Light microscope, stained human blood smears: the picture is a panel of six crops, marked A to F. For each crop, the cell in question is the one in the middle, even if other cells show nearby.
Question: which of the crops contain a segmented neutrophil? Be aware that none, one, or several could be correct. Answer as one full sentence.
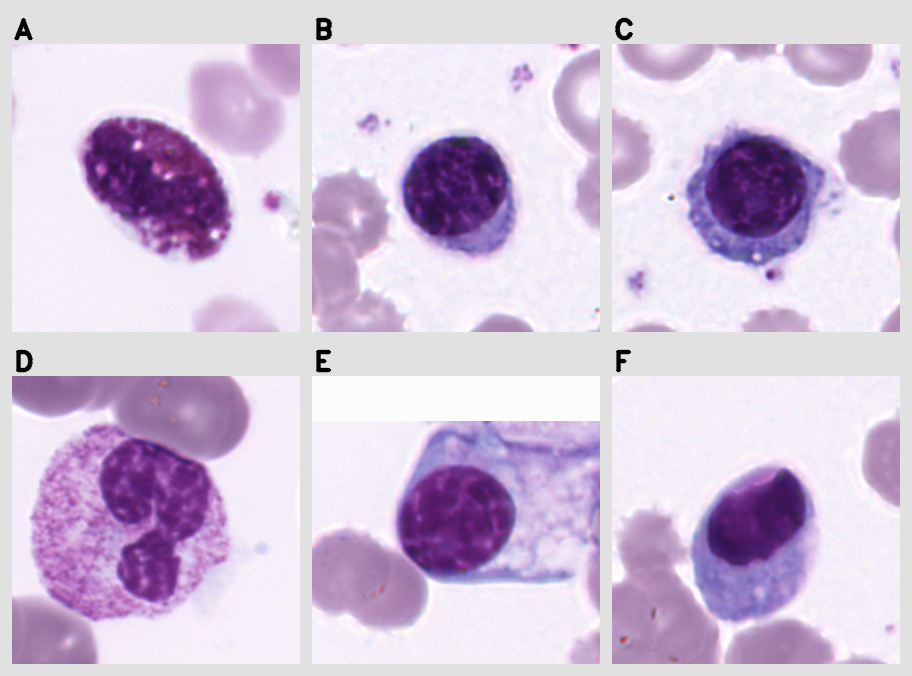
The other crops lack a segmented neutrophil; only crop D has one.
